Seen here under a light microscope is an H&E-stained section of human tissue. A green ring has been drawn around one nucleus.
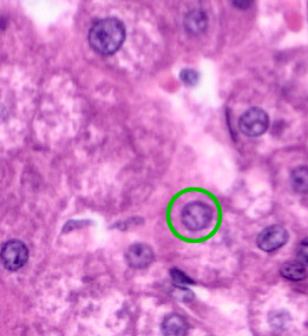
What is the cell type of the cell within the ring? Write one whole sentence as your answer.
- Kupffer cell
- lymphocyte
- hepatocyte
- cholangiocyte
Cell type answer for this item: the cell within the ring is a hepatocyte.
